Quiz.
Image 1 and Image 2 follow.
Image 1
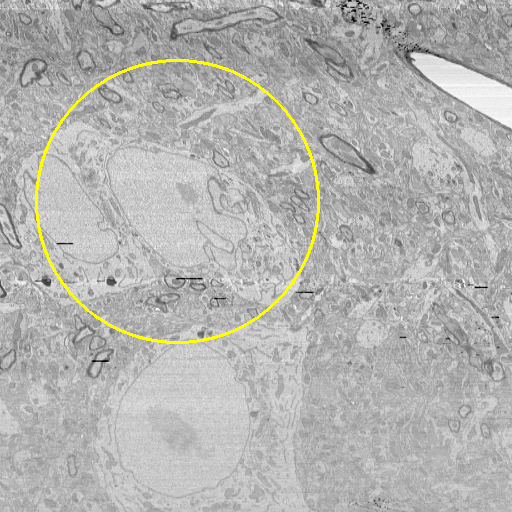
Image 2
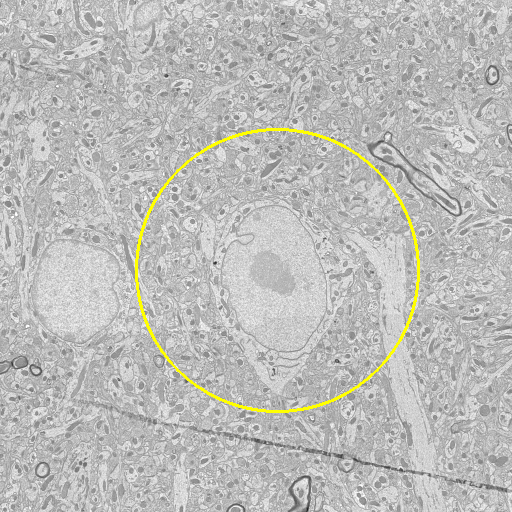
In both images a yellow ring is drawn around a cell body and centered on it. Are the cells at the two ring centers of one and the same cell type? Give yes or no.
yes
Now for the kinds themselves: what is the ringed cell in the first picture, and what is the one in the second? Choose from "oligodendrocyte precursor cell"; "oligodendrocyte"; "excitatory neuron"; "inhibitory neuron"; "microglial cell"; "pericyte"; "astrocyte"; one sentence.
Both pictures show an inhibitory neuron at the centre of the ring.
